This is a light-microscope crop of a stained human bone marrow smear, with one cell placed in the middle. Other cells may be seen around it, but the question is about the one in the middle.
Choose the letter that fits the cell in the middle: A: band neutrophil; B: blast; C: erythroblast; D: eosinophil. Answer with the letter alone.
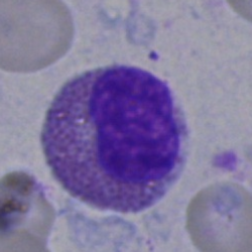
D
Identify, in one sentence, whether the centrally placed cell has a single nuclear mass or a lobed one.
The nuclear material is gathered into one compact round, oval or kidney-shaped mass.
